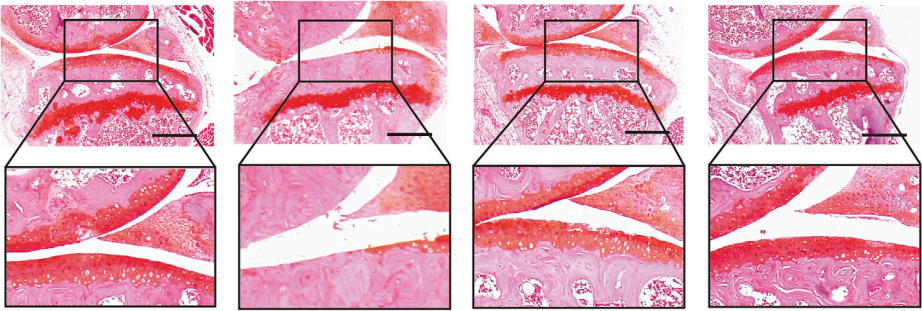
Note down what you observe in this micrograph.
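Four sections of the knee joint show the articular cartilage of the opposing joint surfaces, each with an enlarged view of the boxed area below. Where the cartilage is preserved, it forms a continuous orange-red layer. The chondrocytes in it sit in small clear lacunae arranged in rows above the pink subchondral bone and marrow spaces. In the second image, the surface layer is thin and irregular, and the red staining of the upper cartilage is largely lost, leaving pale pink matrix with few cells. In the other sections, a smooth, red-stained cartilage band with many chondrocytes is kept on both surfaces.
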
